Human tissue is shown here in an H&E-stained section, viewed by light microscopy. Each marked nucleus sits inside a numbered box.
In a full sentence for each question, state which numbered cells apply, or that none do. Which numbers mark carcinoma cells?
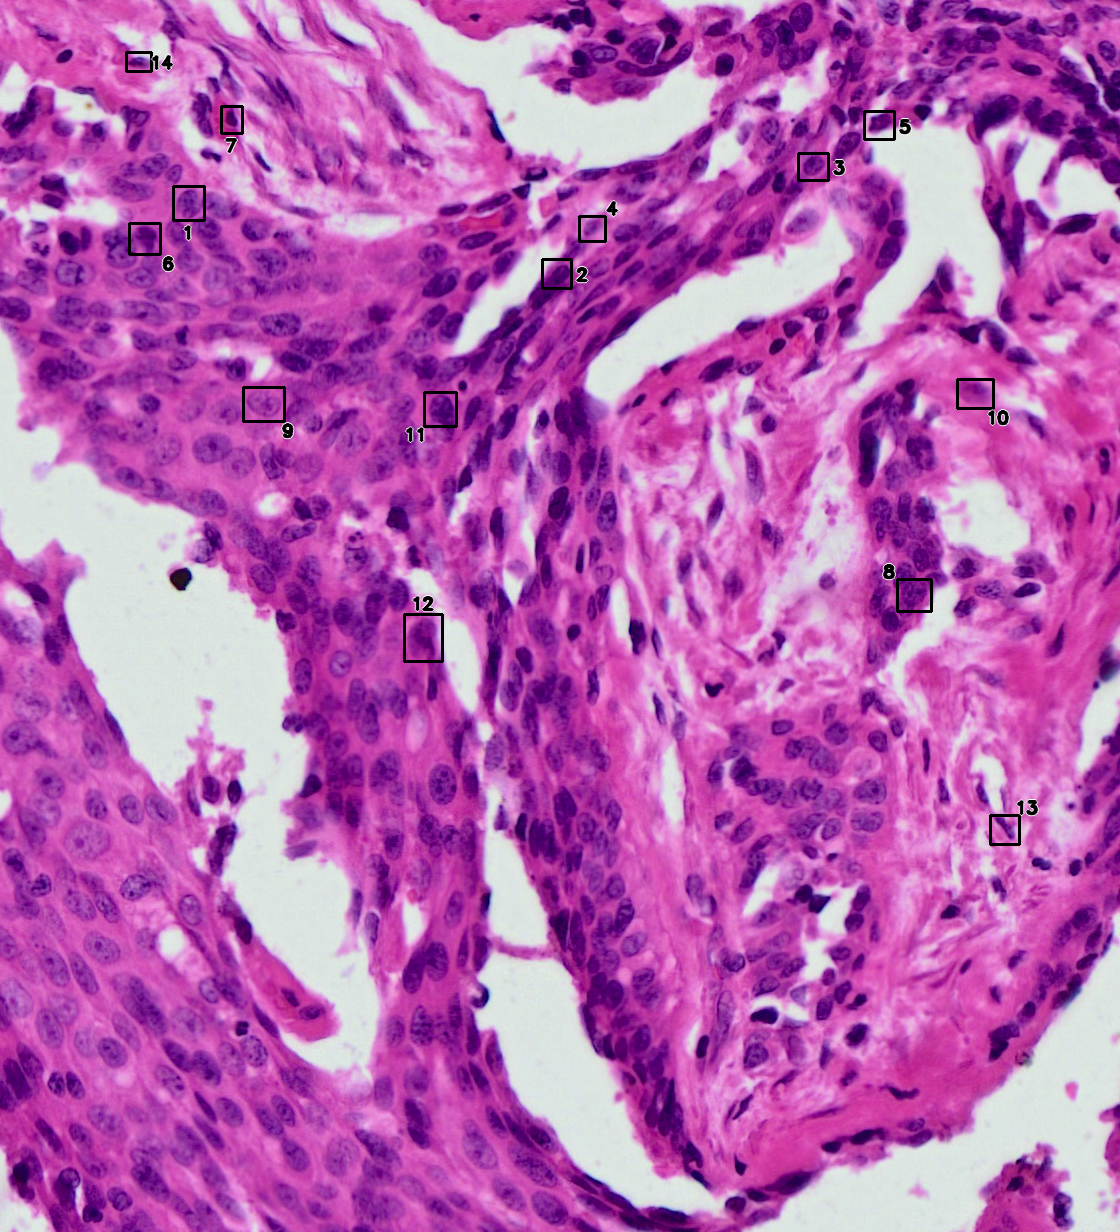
Cells 1, 2, 5, 6, 8, 9, 11 and 12 in the section are typed as carcinoma cells.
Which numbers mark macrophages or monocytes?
The cells numbered 3 and 4 are of the kind known as macrophages or monocytes.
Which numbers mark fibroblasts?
Cells 10, 13 and 14 are of one type, namely fibroblasts.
